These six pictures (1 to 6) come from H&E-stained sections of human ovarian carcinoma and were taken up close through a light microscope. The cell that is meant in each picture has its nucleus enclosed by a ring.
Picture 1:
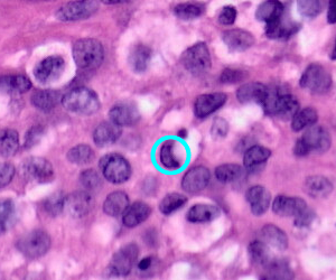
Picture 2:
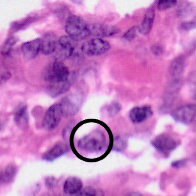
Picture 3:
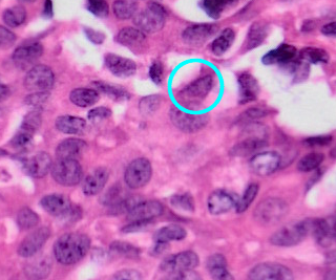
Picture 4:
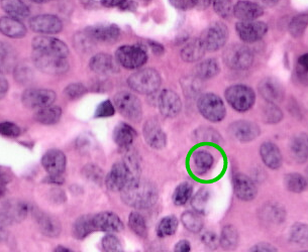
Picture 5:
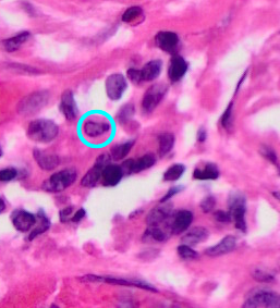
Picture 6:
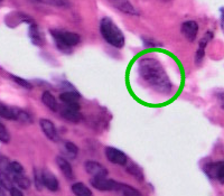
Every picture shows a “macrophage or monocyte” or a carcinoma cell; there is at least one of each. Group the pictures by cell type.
1: macrophage or monocyte
2: carcinoma cell
3: carcinoma cell
4: macrophage or monocyte
5: macrophage or monocyte
6: macrophage or monocyte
